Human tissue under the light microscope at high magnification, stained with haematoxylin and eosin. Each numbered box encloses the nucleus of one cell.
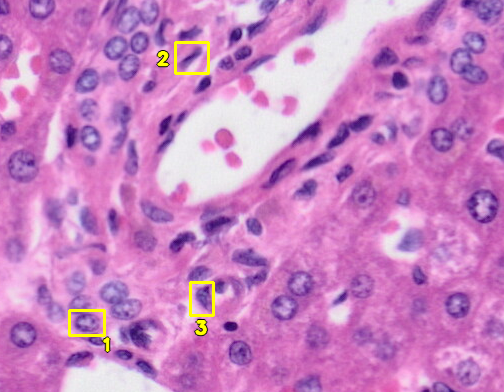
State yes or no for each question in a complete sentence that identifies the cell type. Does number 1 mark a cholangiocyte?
Yes, and to answer plainly, cell 1 is a cholangiocyte.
